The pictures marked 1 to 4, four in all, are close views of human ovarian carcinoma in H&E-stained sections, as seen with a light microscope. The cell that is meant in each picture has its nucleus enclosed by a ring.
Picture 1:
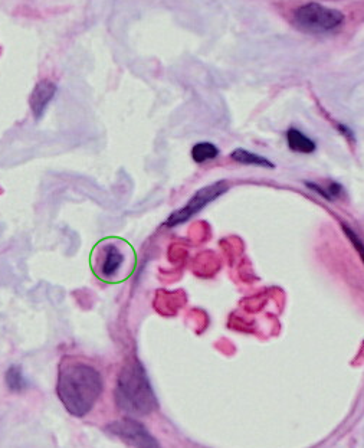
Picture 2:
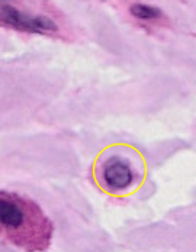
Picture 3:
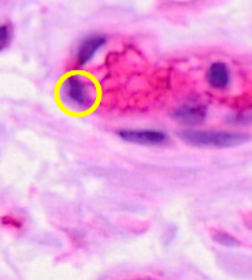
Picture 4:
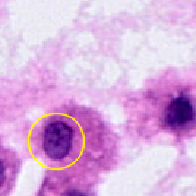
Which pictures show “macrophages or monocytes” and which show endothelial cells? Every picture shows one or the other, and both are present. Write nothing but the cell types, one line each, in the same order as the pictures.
macrophage or monocyte
macrophage or monocyte
endothelial cell
macrophage or monocyte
